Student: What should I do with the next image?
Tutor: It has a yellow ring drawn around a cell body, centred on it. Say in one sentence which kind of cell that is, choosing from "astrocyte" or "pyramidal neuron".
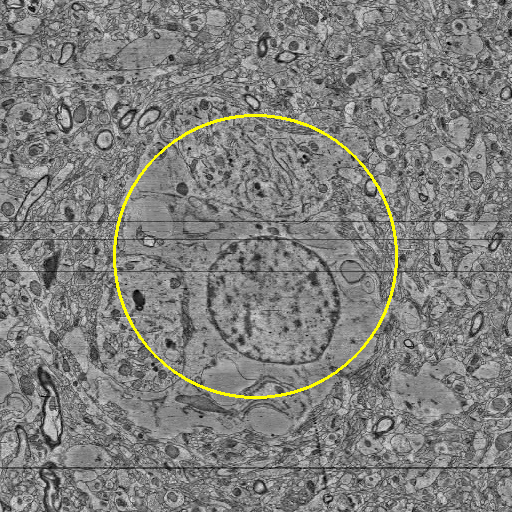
The ring's centre is occupied by an astrocyte.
